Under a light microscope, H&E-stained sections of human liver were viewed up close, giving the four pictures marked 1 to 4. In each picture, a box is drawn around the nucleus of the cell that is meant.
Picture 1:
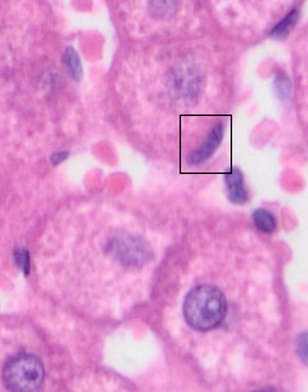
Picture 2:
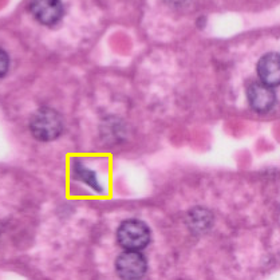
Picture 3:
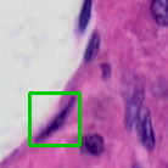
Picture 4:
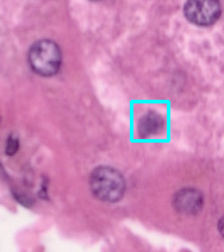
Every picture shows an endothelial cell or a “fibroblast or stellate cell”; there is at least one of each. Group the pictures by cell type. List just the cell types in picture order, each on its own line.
fibroblast or stellate cell
endothelial cell
fibroblast or stellate cell
endothelial cell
